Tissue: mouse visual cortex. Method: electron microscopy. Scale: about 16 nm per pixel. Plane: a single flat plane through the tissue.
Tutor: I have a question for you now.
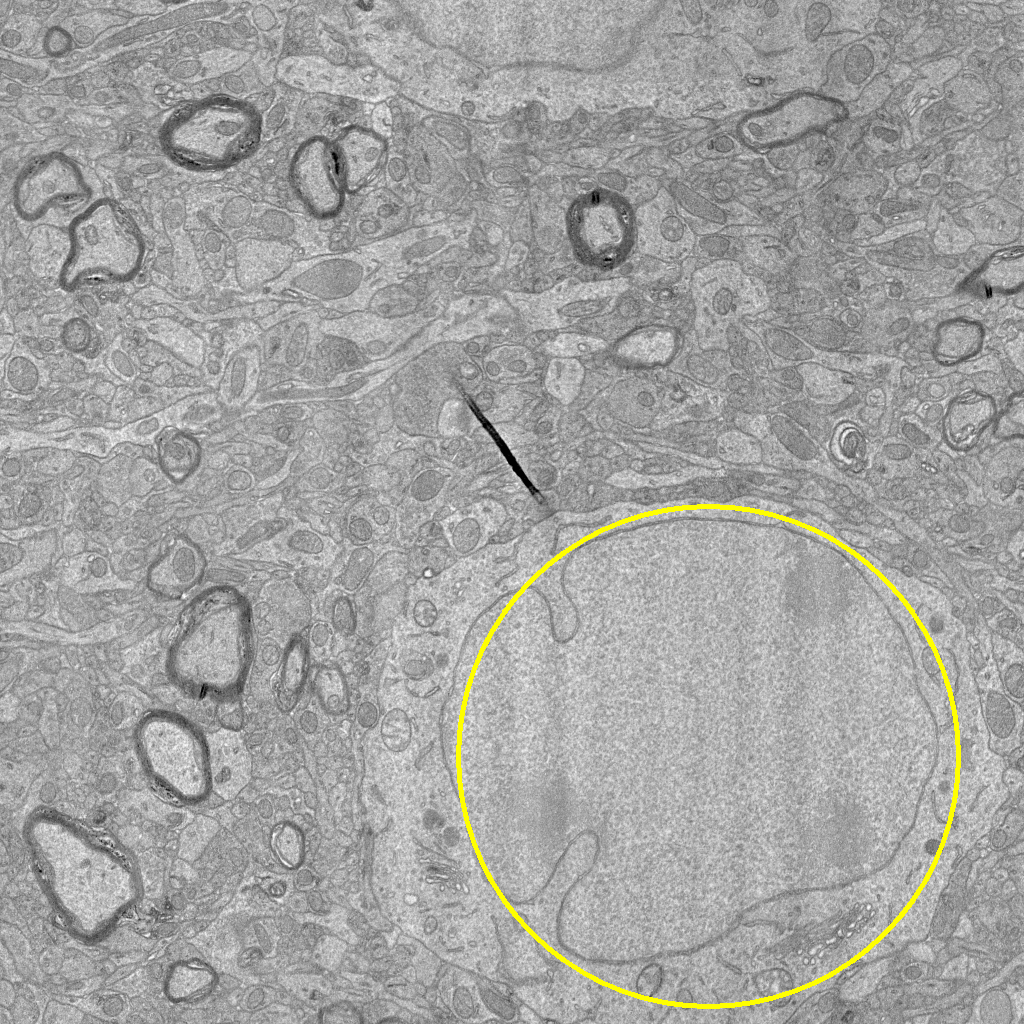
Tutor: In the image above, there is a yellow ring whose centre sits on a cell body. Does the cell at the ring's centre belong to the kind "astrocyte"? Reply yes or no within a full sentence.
No, the cell at the centre of the ring belongs to another kind.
